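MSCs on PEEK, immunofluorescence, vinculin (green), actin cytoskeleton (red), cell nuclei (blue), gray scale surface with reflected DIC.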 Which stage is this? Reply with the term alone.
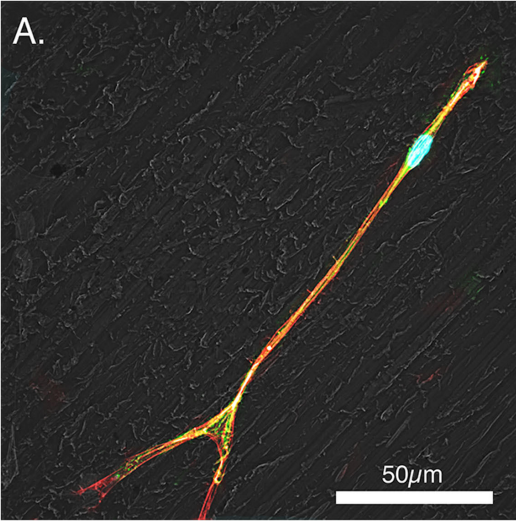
Elongated spindle-shaped morphology.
